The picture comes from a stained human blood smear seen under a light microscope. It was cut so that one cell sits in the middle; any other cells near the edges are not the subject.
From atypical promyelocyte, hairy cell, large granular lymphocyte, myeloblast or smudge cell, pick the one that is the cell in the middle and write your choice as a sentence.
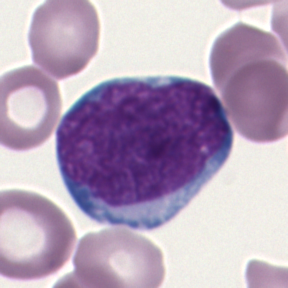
Centred in the crop is a myeloblast.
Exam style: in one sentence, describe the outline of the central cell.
Nothing juts out from the margin, which is smooth throughout.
